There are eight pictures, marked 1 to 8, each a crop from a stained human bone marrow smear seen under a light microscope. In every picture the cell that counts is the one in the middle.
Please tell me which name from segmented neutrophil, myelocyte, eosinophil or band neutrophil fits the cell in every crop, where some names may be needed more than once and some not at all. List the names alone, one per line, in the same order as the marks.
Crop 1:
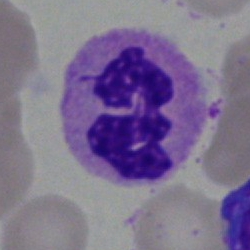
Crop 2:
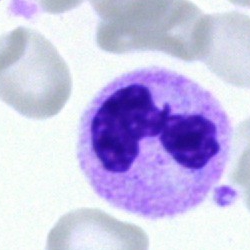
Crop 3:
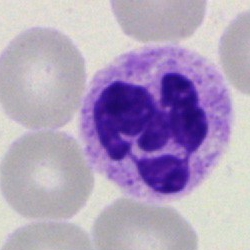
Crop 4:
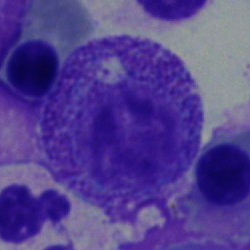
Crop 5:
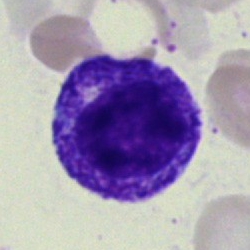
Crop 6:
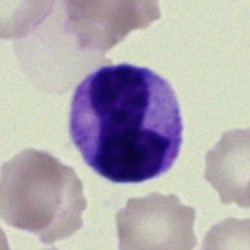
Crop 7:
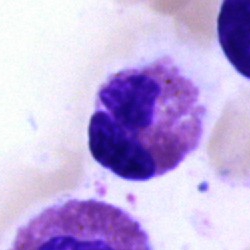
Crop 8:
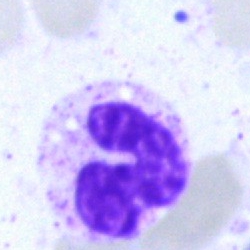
segmented neutrophil
segmented neutrophil
segmented neutrophil
myelocyte
myelocyte
band neutrophil
eosinophil
band neutrophil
